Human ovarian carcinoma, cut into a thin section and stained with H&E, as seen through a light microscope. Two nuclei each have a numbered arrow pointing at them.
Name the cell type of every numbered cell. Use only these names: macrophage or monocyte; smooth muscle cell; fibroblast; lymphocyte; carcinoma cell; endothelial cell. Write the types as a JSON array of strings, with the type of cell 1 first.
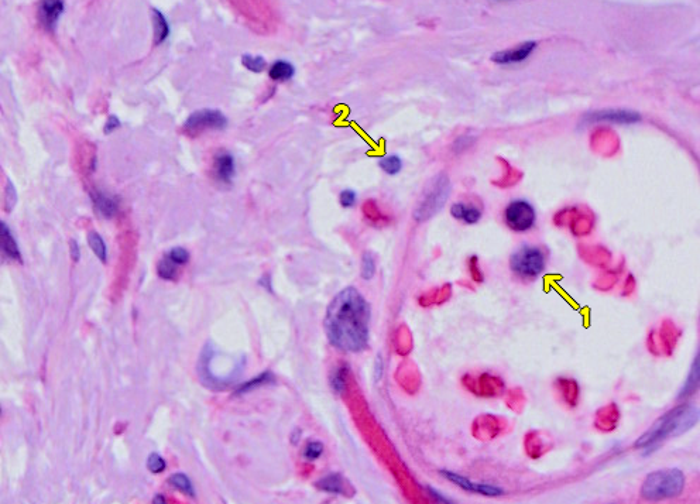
["macrophage or monocyte", "lymphocyte"]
